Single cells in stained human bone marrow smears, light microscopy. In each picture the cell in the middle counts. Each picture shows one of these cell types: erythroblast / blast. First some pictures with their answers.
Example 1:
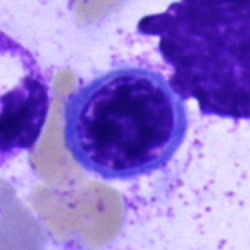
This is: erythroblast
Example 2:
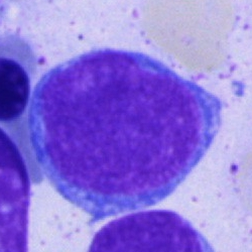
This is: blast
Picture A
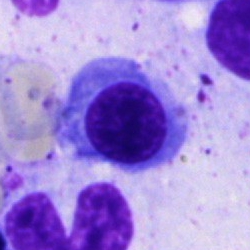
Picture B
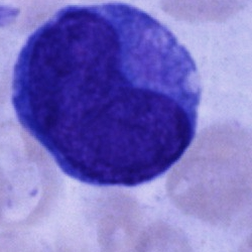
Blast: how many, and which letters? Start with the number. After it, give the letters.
1, namely B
